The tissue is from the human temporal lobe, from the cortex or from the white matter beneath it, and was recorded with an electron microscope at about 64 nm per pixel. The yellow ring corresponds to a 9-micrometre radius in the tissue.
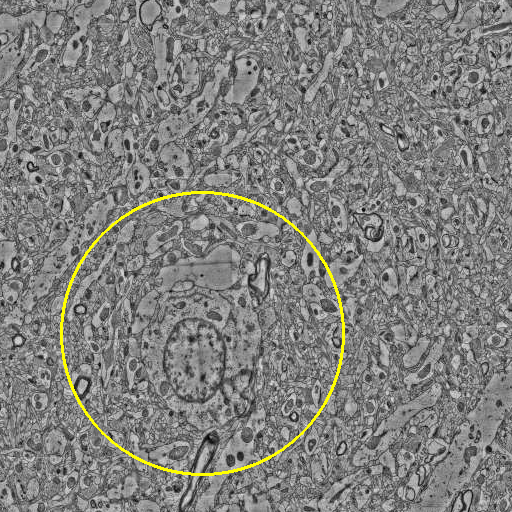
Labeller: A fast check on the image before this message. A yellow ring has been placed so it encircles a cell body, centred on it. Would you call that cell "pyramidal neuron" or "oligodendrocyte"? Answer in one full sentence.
In this image, a pyramidal neuron is the cell on which the yellow ring is centred.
